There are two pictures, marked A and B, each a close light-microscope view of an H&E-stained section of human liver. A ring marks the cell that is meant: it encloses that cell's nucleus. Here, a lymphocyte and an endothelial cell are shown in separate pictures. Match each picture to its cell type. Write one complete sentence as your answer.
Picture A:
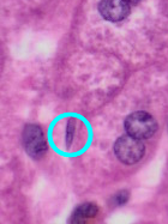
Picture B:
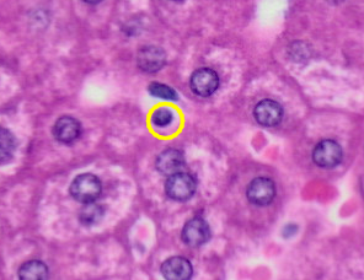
It is picture A that shows an endothelial cell, and picture B that shows a lymphocyte.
